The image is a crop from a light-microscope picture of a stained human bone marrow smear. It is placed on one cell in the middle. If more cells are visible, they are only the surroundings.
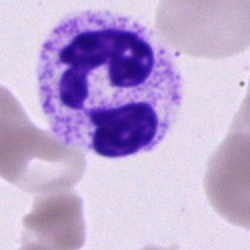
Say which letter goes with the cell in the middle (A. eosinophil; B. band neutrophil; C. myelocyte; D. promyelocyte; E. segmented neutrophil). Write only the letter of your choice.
E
